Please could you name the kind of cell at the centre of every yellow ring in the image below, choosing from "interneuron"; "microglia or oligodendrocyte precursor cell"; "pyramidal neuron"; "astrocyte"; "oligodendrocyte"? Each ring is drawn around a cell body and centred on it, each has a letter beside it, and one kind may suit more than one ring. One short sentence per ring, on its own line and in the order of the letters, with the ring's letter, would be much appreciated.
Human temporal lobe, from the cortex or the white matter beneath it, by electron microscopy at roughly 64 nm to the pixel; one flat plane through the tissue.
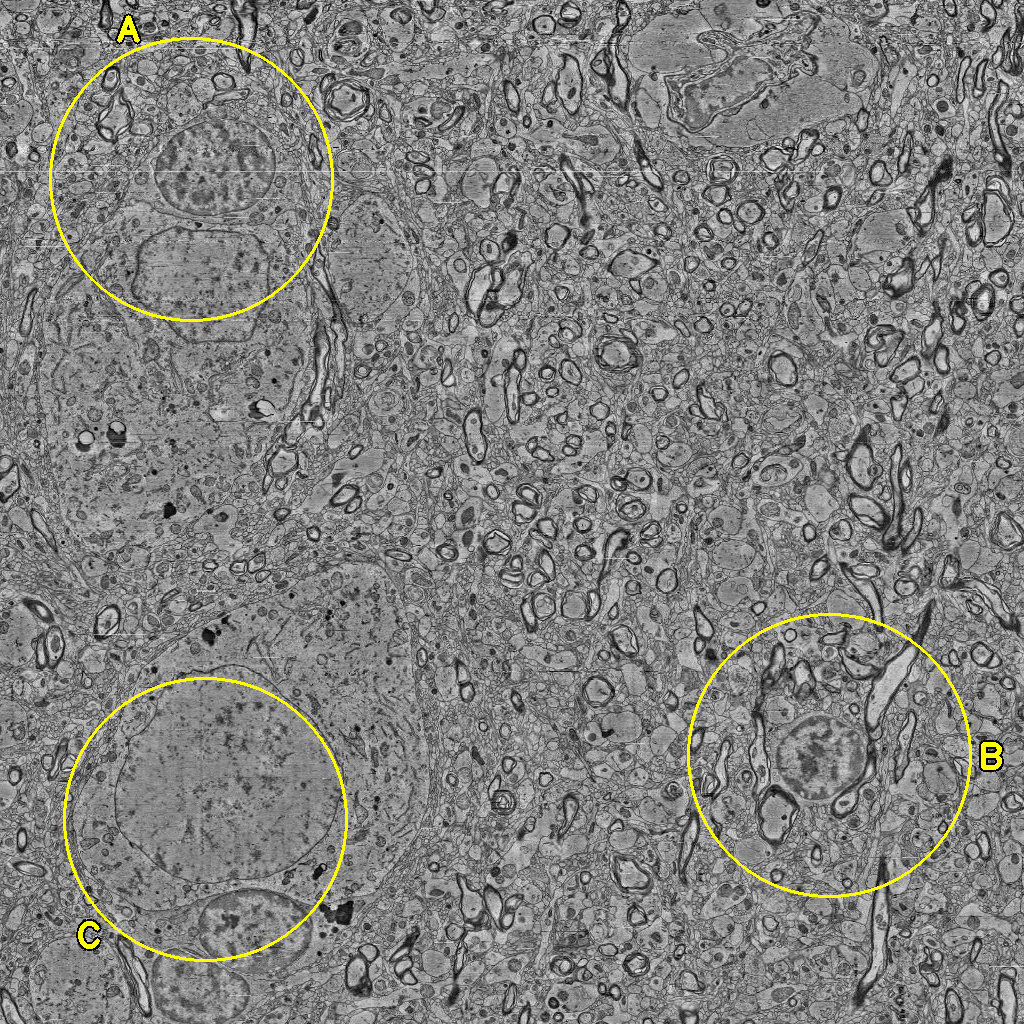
The cell in the middle of ring A is an oligodendrocyte.
The cell in the middle of ring B is an oligodendrocyte.
The cell in the middle of ring C is a pyramidal neuron.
